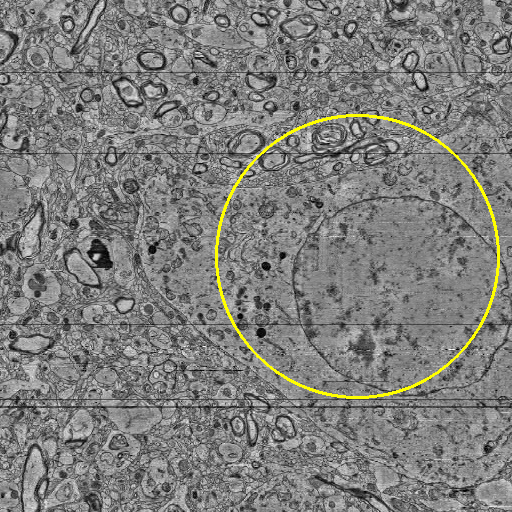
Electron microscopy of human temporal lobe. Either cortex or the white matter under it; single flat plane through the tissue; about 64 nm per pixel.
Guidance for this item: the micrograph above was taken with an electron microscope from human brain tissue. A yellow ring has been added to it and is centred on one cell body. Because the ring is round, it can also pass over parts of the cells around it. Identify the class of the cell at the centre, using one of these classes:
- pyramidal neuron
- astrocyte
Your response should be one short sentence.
The ring surrounds the body of a pyramidal neuron.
